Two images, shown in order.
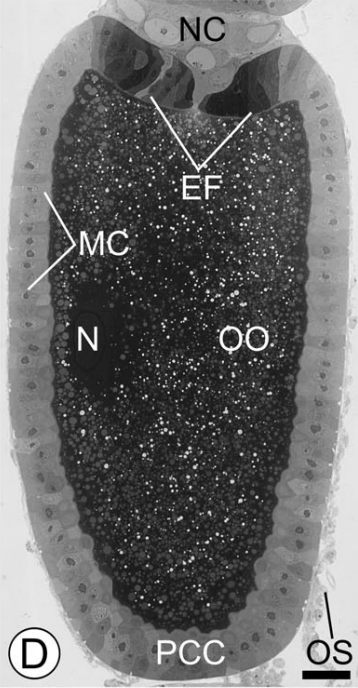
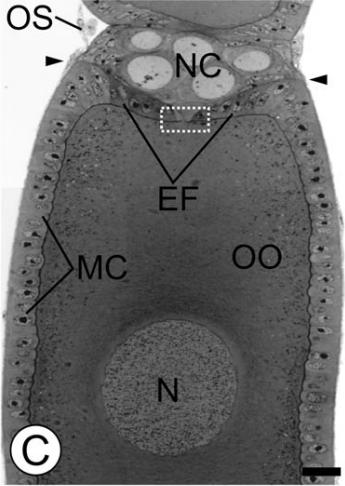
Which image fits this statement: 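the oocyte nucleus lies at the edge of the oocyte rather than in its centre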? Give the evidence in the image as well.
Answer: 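First image: the nucleus sits against one side of the dark oocyte. Second image: the round nucleus lies in the middle of the oocyte. So: the first image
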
